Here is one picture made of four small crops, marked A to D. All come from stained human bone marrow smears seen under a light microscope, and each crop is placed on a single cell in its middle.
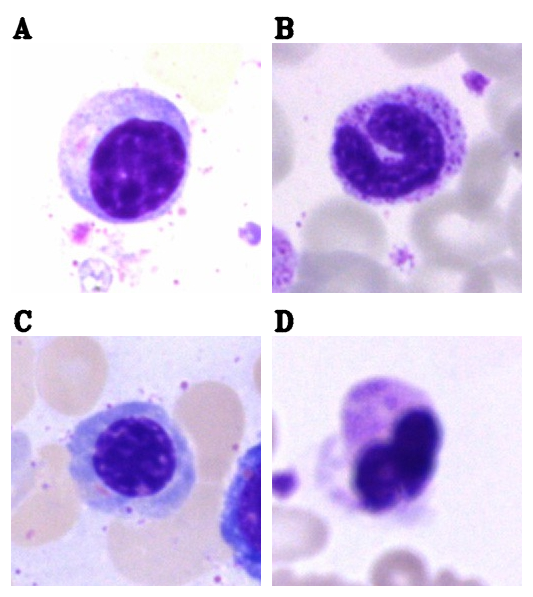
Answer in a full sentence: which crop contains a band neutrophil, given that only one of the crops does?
Crop B is the correct crop, and it shows a band neutrophil.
